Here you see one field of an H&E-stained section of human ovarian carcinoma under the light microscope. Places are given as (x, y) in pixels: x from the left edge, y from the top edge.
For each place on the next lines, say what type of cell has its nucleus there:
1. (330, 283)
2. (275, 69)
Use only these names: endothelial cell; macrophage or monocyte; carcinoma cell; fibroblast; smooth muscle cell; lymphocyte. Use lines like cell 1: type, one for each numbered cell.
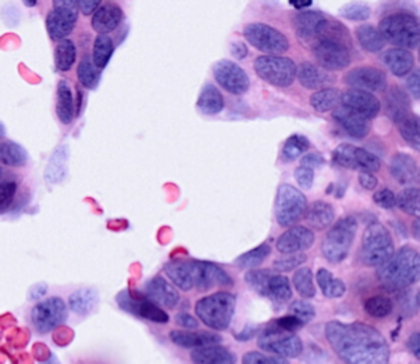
cell 1: macrophage or monocyte
cell 2: carcinoma cell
